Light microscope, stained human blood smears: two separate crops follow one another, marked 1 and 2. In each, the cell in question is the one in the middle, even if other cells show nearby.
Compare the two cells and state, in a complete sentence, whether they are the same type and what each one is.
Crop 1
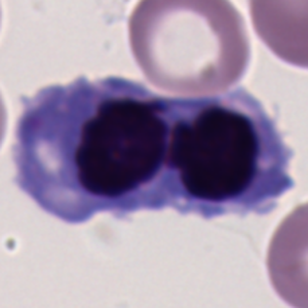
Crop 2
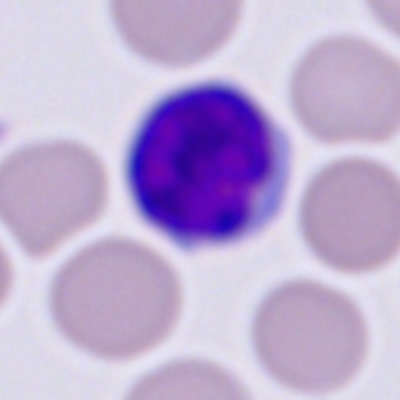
No, crop 1 corresponds to an erythroblast, while crop 2 corresponds to a lymphocyte.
